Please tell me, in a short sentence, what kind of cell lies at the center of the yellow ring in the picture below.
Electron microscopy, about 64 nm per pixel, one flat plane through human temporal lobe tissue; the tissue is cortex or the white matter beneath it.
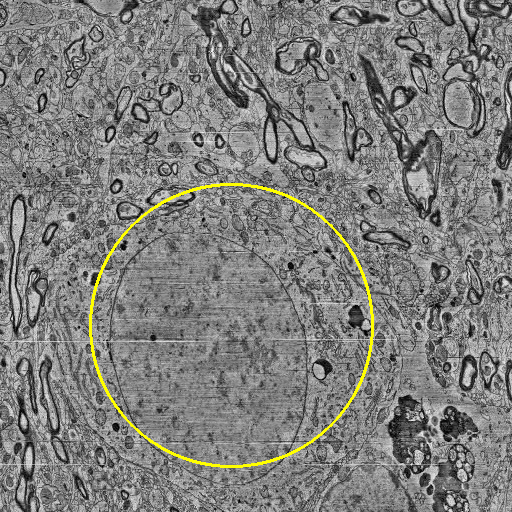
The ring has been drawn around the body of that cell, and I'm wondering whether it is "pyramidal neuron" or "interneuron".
The cell at the center of the ring is a pyramidal neuron.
